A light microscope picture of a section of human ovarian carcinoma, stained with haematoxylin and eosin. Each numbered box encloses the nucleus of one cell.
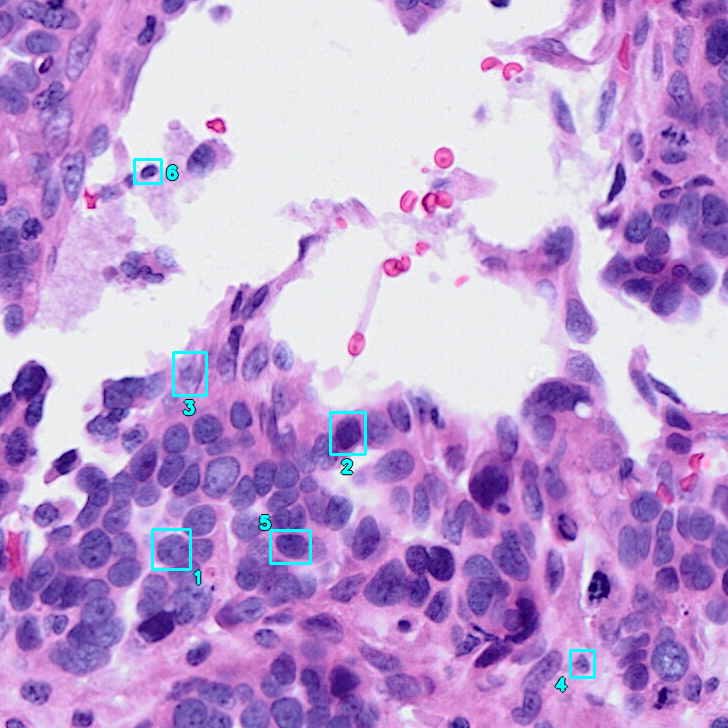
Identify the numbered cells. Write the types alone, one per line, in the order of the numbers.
carcinoma cell
carcinoma cell
fibroblast
lymphocyte
carcinoma cell
lymphocyte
